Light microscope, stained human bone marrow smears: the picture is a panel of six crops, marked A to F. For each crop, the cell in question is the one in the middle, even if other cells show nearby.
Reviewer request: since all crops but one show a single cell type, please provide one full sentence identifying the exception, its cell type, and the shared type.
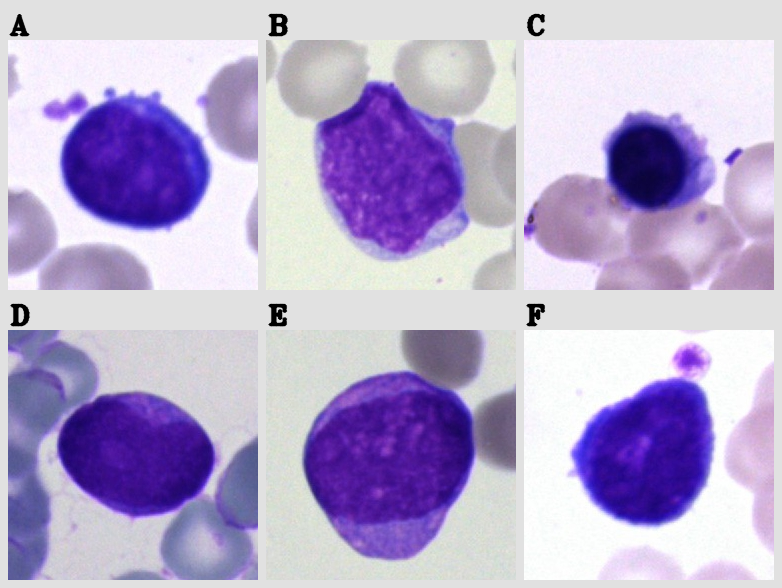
Crop C differs from the others in showing an erythroblast; the rest all show blasts.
